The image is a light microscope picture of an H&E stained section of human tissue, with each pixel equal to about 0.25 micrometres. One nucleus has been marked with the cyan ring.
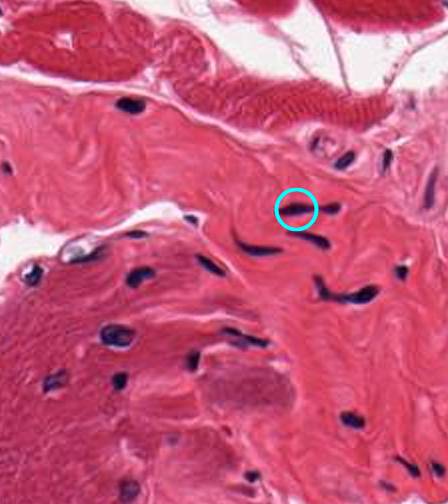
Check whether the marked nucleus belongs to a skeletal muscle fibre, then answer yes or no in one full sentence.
No, the marked nucleus has its place in a supporting cell rather than in a skeletal muscle fibre.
